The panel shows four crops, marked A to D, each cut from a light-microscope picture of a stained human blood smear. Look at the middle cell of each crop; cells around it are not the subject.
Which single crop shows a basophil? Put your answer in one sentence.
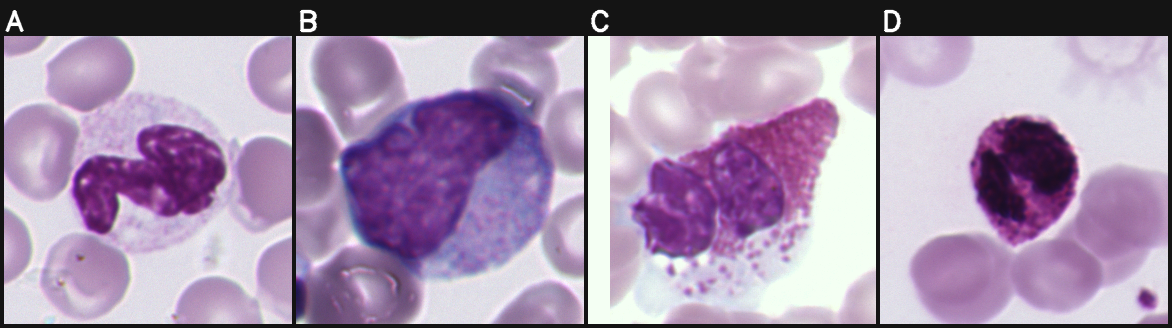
Crop D alone, of all the crops, shows a basophil.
